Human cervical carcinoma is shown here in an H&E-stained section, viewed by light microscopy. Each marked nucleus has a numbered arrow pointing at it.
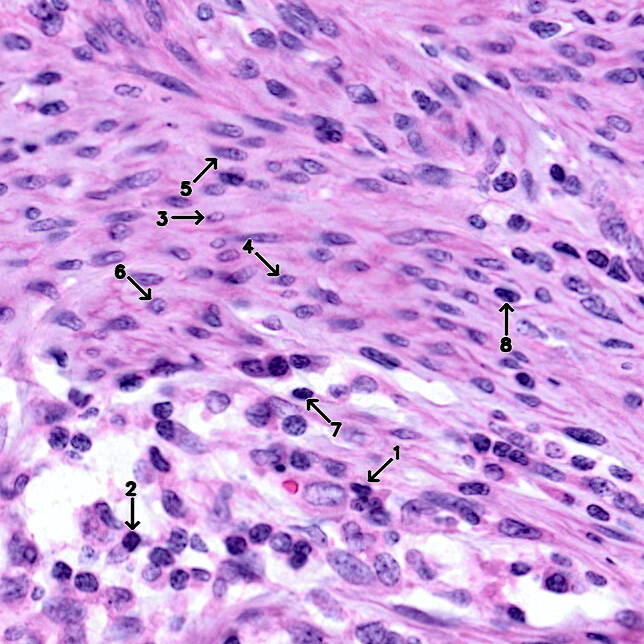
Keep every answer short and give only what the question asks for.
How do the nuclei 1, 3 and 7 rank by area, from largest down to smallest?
1, 7, 3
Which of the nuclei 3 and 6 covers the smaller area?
3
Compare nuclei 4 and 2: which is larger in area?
2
